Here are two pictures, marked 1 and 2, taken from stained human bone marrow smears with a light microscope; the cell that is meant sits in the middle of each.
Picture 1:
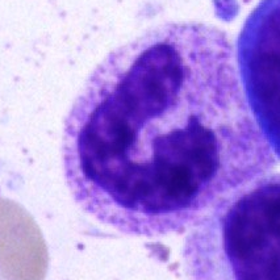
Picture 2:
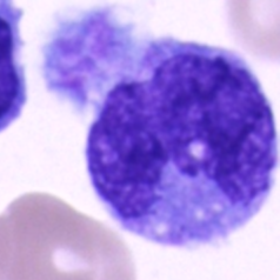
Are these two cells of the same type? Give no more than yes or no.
no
